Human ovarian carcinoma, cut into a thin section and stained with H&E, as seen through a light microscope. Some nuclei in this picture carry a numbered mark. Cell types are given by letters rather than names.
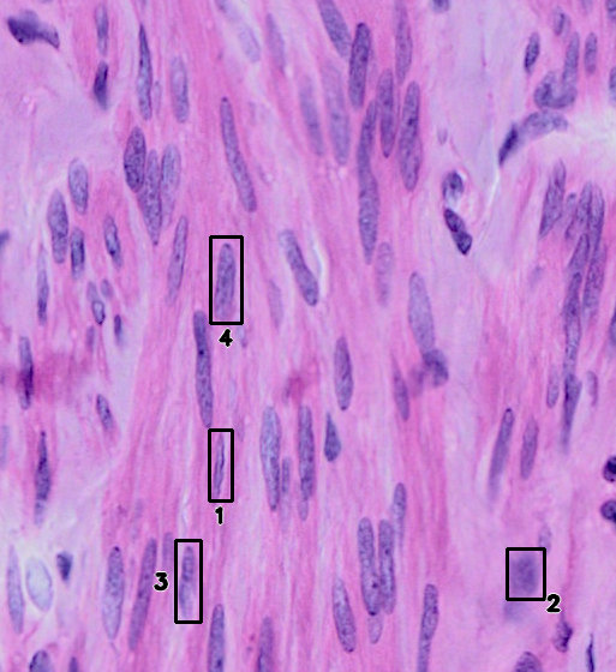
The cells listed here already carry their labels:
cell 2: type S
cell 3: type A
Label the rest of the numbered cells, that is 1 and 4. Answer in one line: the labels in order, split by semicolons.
type A; type A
